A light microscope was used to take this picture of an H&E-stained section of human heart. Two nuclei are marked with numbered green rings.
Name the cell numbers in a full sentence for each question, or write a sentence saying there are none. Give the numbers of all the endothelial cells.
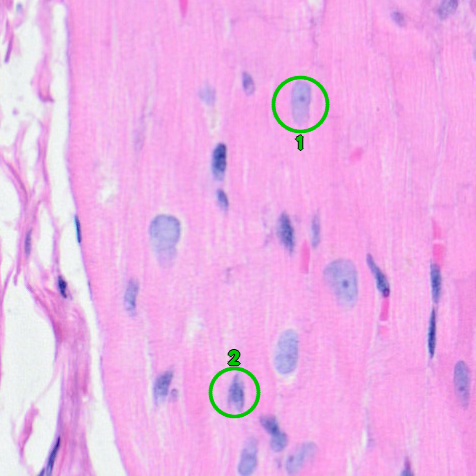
Only cell 2 should be marked as an endothelial cell.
